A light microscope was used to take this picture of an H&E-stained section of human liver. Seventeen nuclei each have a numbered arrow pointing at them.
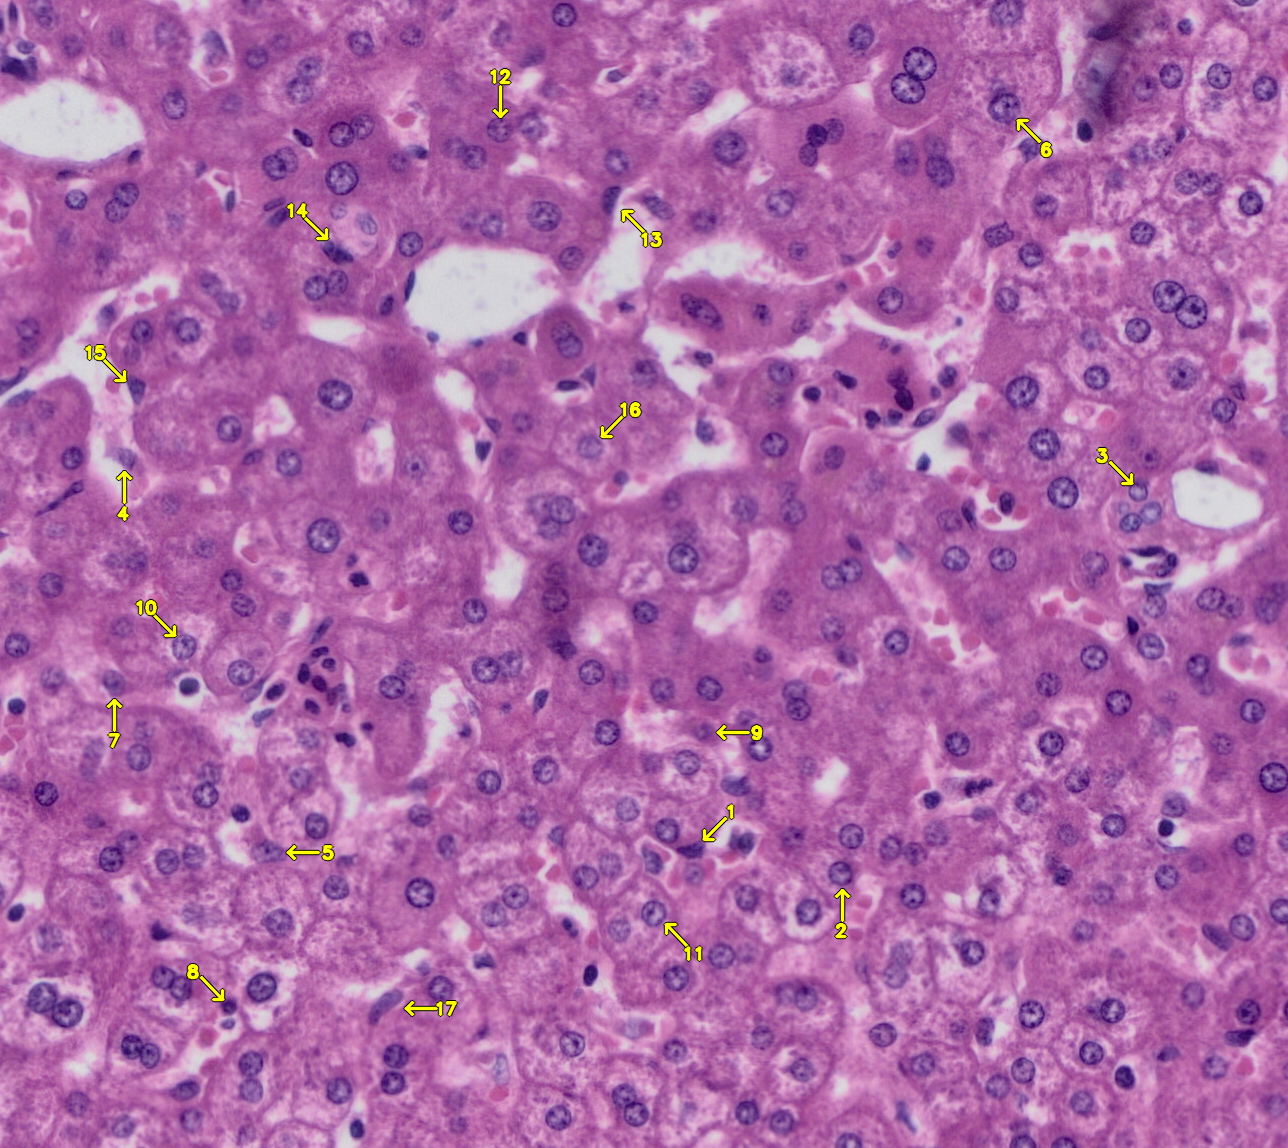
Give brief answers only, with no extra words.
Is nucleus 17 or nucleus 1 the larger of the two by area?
17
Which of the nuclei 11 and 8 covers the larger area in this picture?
11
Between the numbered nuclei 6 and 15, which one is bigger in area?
6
